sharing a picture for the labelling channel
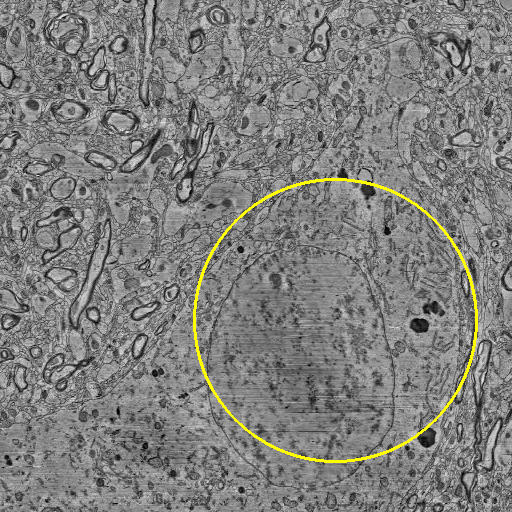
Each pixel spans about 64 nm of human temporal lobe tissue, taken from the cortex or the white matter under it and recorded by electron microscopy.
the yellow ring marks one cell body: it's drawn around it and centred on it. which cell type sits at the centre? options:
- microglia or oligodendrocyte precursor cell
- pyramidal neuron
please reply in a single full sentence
In the picture, the cell at the ring's centre is a pyramidal neuron, going by the list.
